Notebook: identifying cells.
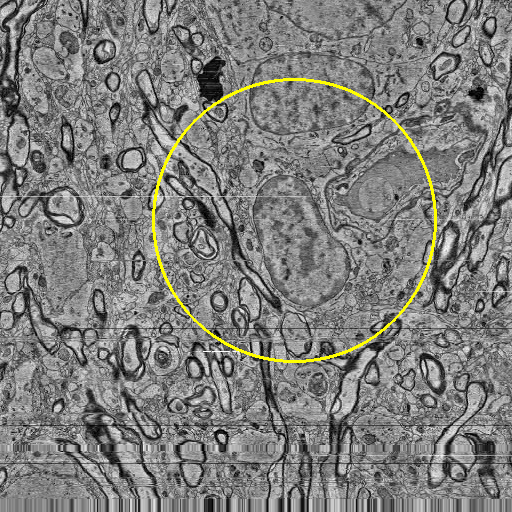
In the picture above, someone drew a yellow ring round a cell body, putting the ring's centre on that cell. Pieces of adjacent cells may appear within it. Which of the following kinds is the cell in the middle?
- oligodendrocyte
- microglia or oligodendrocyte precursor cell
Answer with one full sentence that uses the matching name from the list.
In this picture, the yellow ring is centred on the body of a microglial cell or oligodendrocyte precursor cell.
